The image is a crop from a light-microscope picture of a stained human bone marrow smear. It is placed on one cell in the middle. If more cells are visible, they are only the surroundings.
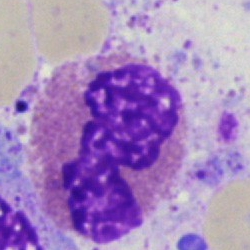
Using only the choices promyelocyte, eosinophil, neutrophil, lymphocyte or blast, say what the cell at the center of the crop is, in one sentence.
The middle of this crop is occupied by an eosinophil.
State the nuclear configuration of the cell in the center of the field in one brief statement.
The nuclear outline breaks up into two or more lobes.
